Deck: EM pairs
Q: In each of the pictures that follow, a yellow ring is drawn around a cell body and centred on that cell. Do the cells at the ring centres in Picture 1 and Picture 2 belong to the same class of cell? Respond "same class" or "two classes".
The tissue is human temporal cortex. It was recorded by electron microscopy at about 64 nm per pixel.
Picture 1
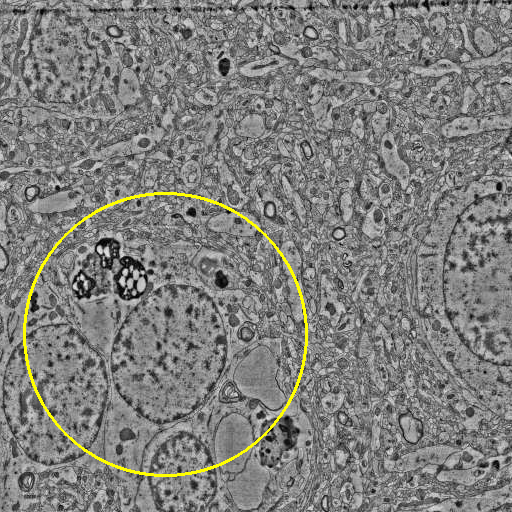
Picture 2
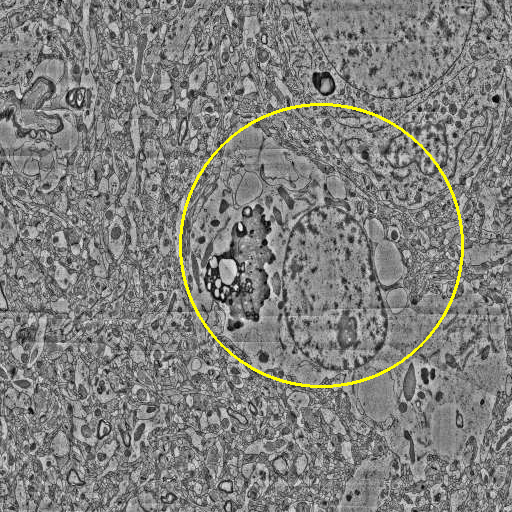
same class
